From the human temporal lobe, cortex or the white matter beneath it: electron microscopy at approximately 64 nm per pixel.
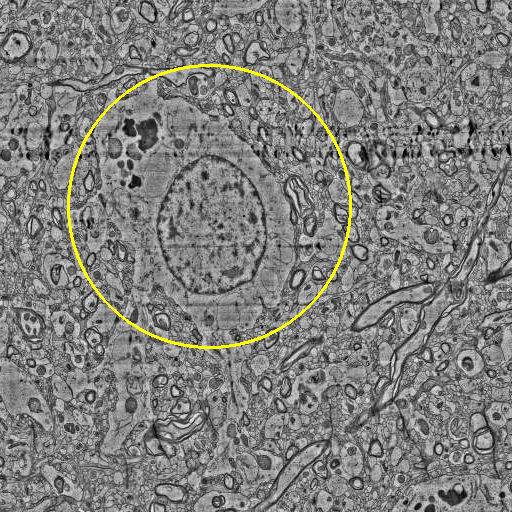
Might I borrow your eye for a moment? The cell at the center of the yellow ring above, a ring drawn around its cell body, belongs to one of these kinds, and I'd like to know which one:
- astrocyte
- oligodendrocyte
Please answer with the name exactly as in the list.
astrocyte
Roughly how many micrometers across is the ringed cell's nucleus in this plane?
In this plane, the nucleus is roughly 9 by 7 micrometres.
